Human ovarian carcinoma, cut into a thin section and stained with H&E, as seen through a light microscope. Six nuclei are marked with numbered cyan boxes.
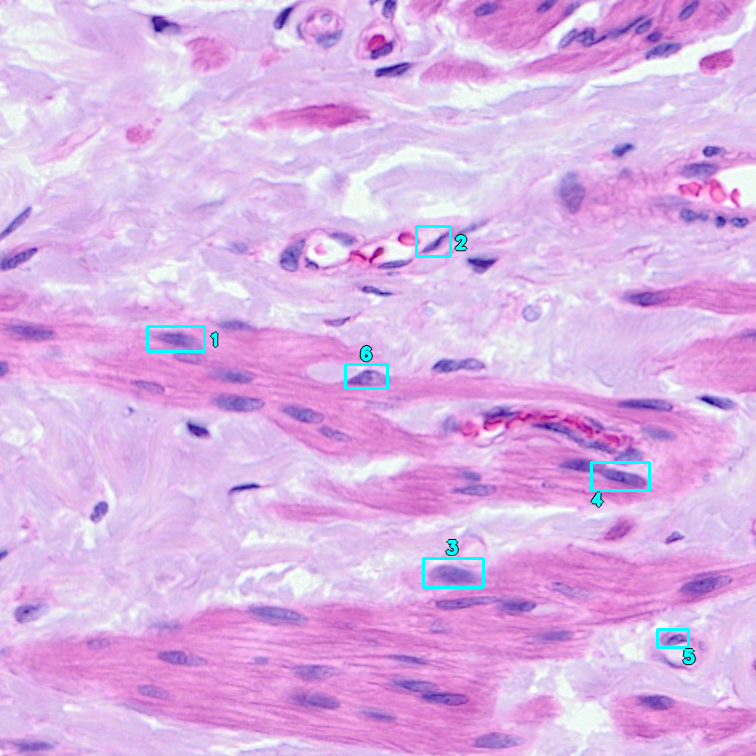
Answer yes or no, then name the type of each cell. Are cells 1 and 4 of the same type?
Yes, both are smooth muscle cells.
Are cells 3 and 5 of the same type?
No, cell 3 is a smooth muscle cell and cell 5 is an endothelial cell.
